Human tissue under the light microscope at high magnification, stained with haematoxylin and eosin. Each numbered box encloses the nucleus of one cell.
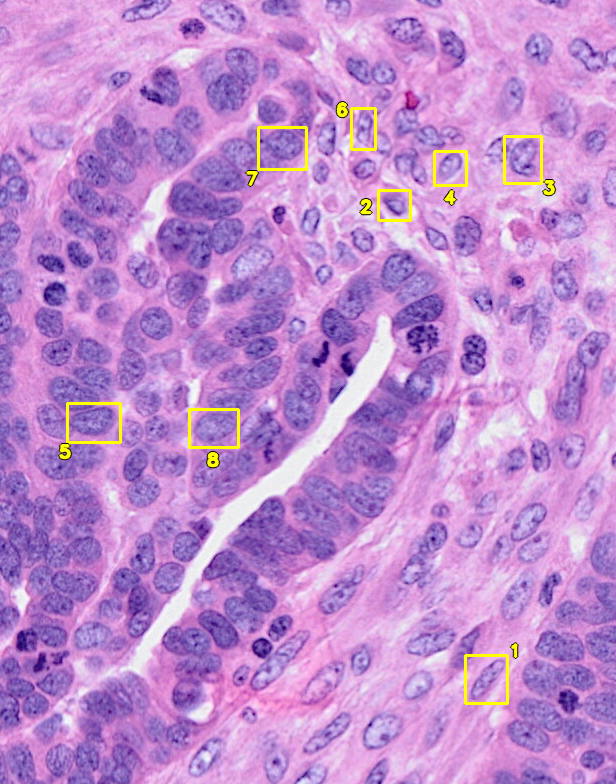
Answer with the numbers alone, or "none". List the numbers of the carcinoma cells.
5, 7, 8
